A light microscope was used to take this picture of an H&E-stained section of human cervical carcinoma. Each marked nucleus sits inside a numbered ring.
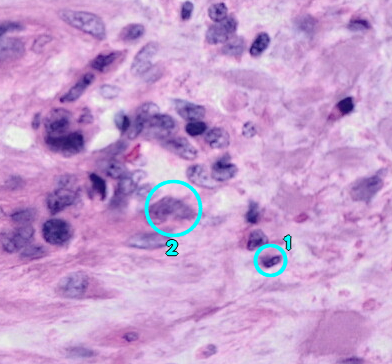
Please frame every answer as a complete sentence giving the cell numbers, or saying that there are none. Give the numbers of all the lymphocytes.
The nucleus numbered 1 is the only one that belongs to a lymphocyte.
